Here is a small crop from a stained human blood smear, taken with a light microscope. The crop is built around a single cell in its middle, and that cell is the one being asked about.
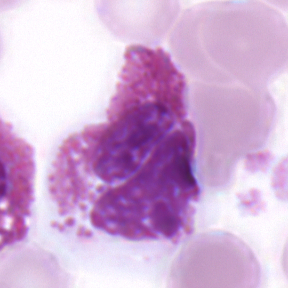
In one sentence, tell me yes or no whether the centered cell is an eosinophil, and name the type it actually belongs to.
Yes, the cell in the middle of this smear crop is an eosinophil.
